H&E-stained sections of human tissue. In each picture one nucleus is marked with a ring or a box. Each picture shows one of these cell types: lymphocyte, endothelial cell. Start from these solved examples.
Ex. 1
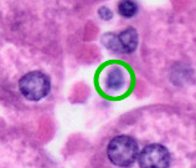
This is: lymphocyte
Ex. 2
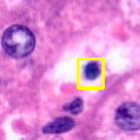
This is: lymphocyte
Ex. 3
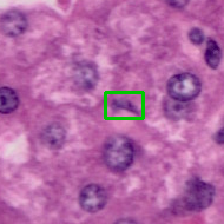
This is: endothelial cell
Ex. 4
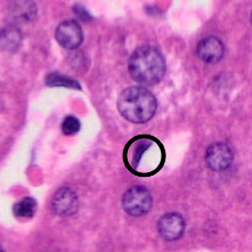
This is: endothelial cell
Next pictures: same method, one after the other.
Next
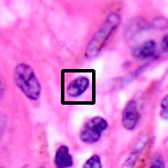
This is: lymphocyte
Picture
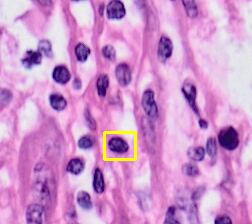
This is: lymphocyte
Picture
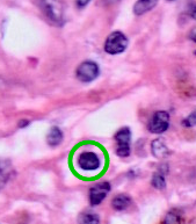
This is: lymphocyte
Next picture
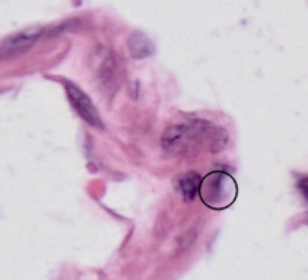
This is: endothelial cell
